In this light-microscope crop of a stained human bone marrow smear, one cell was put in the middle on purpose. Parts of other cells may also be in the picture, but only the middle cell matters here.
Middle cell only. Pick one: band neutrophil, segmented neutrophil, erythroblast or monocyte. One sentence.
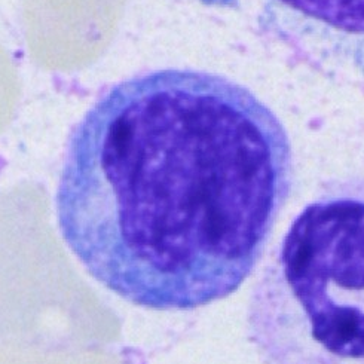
The cell centred in this crop is categorized as a monocyte.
